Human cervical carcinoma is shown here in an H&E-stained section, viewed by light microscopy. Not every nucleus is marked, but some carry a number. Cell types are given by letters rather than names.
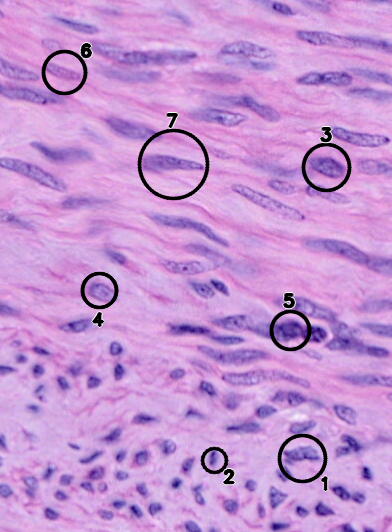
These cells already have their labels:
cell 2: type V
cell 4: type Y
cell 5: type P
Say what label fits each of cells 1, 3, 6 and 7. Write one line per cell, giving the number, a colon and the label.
1: type V
3: type Y
6: type Y
7: type Y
